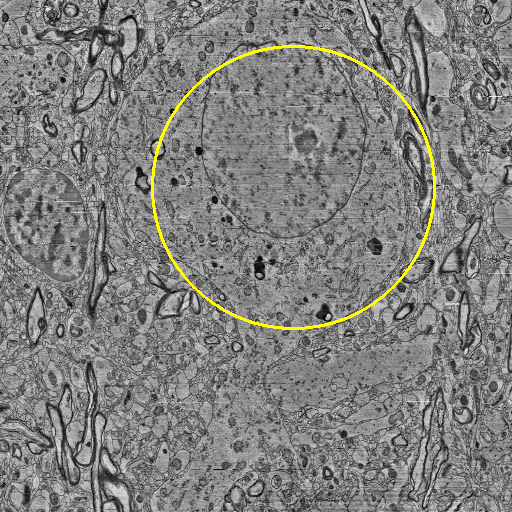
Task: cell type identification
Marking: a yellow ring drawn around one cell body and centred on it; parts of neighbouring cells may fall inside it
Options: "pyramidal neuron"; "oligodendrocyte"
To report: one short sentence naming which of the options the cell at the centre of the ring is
The cell at the centre of the ring is a pyramidal neuron.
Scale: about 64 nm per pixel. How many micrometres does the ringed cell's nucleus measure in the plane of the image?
About 13 by 11 micrometers, in this plane.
